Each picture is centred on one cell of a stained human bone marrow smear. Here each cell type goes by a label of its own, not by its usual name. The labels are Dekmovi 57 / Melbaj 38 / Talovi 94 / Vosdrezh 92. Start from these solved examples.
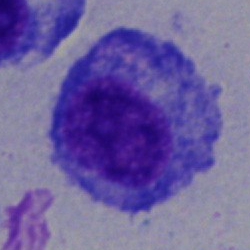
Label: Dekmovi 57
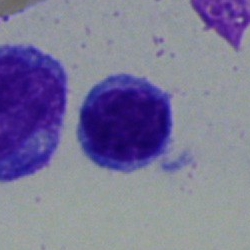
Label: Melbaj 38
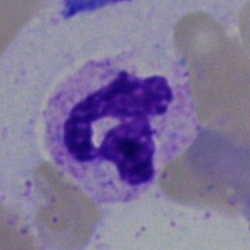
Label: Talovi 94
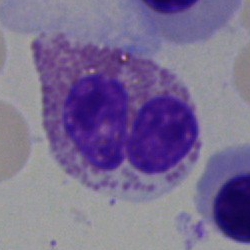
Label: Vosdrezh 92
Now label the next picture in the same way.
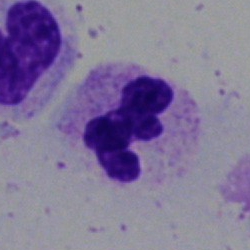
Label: Talovi 94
